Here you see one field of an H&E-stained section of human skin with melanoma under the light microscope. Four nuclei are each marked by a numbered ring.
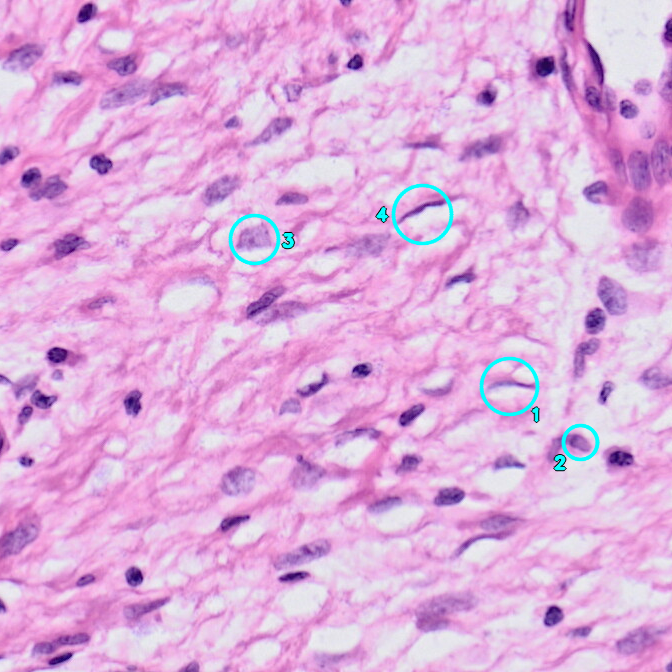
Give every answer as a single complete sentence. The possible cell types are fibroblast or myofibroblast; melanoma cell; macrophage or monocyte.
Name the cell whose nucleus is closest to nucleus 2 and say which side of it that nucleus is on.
Just to the left of nucleus 2 lies the nearest nucleus, which belongs to a macrophage or monocyte.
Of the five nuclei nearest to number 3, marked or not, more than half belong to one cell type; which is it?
The majority of the five nuclei closest to number 3 belong to fibroblasts or myofibroblasts.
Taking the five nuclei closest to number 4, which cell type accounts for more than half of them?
Fibroblasts or myofibroblasts make up most of the five nuclei closest to number 4.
